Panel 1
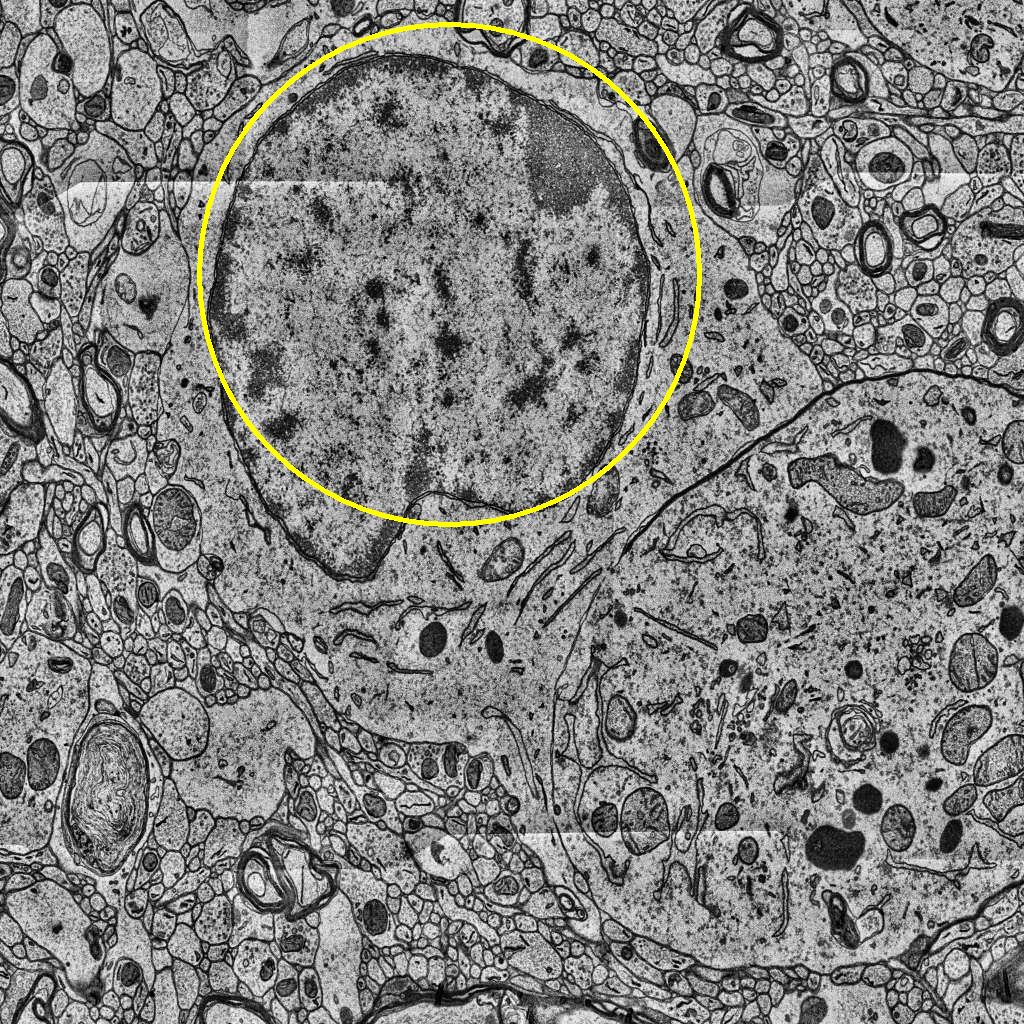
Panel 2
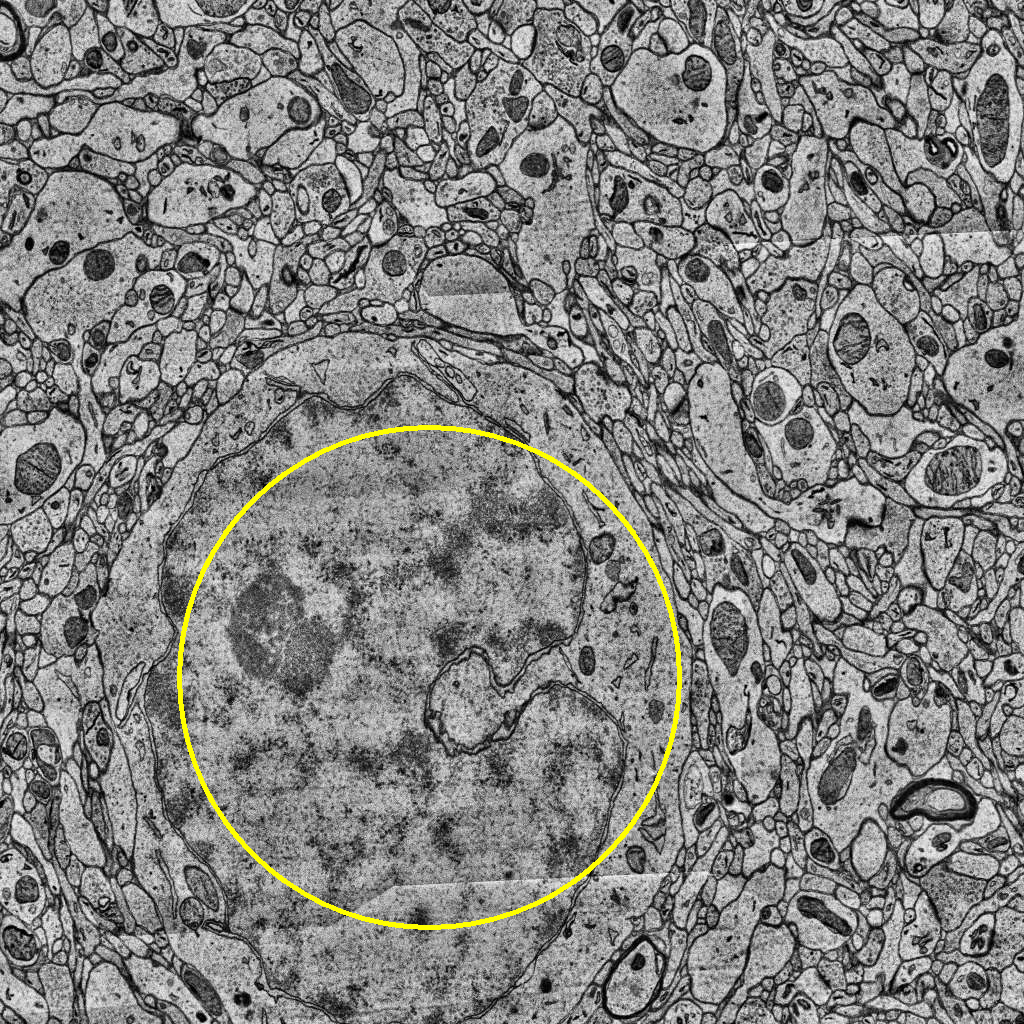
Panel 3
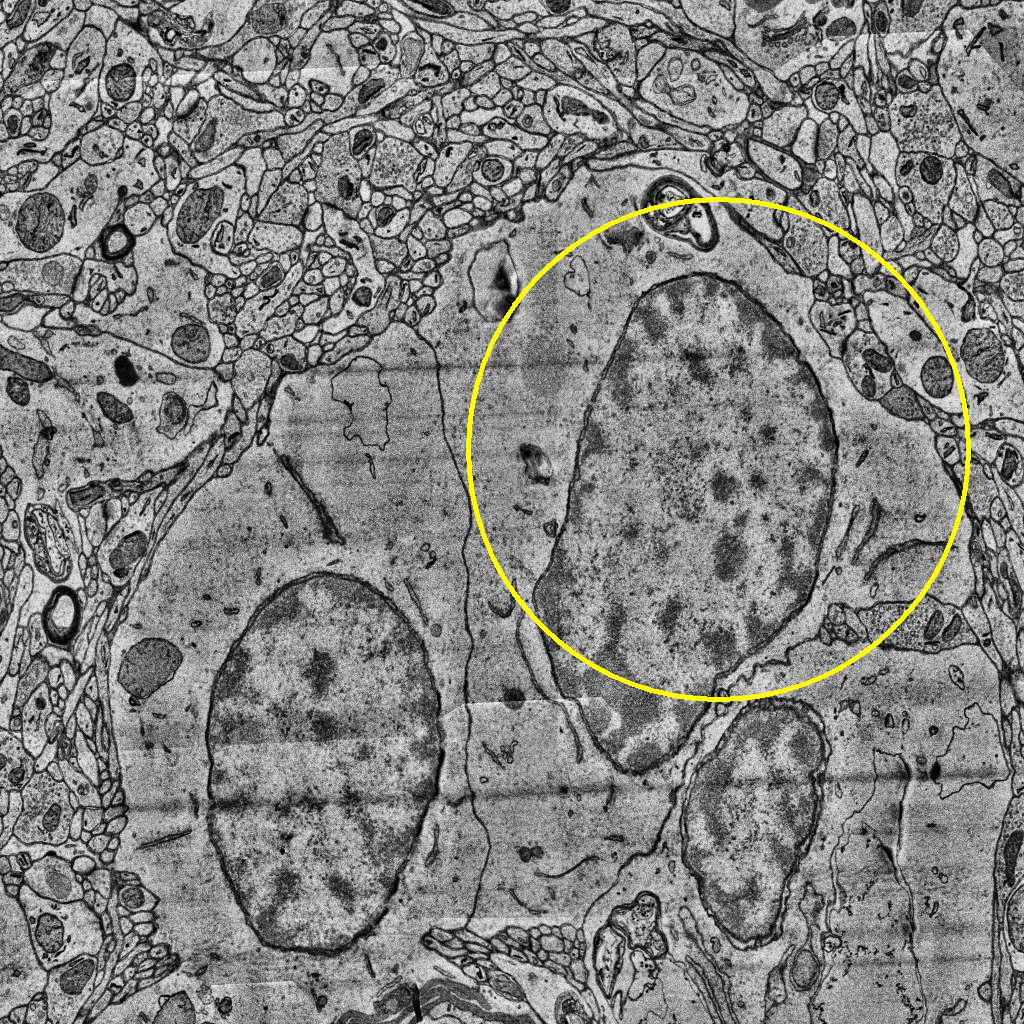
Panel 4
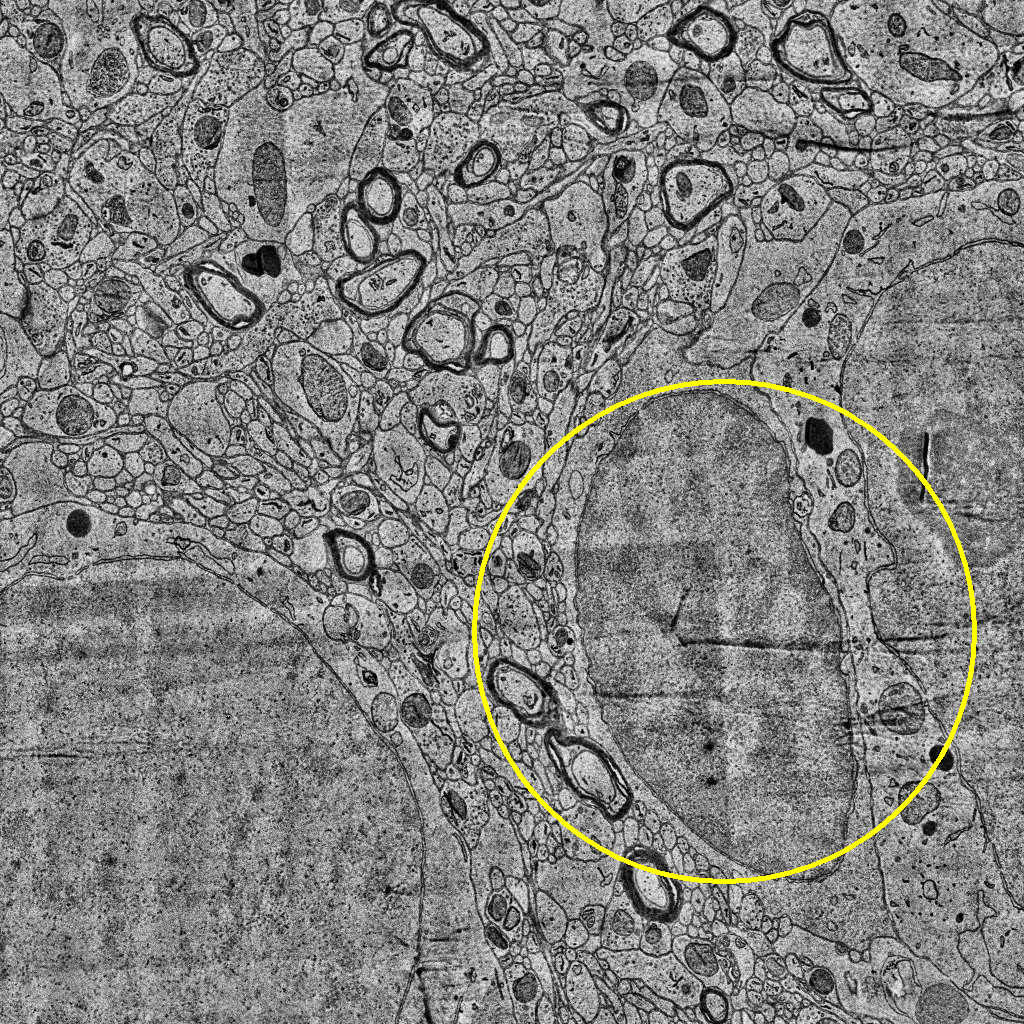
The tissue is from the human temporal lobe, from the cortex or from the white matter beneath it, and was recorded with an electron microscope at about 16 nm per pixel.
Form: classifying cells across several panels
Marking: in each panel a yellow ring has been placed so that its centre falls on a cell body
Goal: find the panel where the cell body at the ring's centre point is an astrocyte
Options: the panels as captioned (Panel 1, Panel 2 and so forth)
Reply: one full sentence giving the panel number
Panel 3 shows the wanted cell, with the centre of its ring lying inside it.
